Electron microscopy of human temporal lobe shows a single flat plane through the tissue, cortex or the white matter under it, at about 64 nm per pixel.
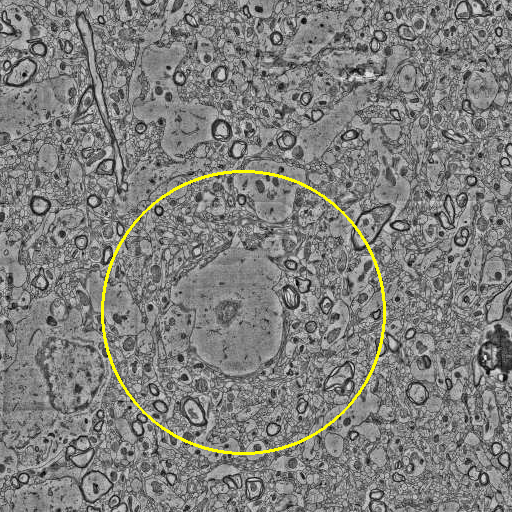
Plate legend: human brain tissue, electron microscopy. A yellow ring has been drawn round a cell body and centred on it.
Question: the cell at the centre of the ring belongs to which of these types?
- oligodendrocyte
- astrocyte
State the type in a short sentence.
The cell in the middle of the ring is an astrocyte.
